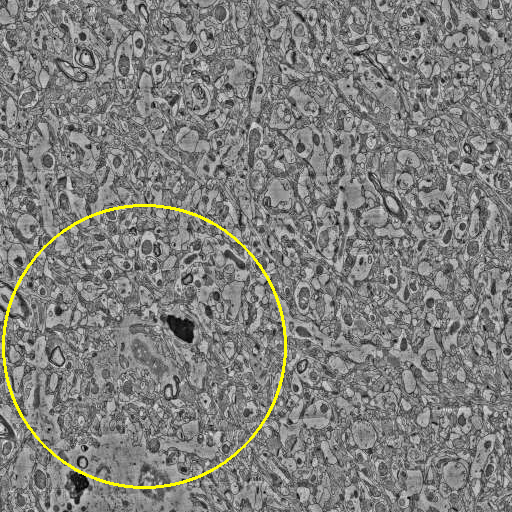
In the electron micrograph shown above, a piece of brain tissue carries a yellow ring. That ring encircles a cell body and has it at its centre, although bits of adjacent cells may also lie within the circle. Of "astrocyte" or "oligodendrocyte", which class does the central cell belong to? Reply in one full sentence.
The cell body at the centre of the yellow ring belongs to an oligodendrocyte.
